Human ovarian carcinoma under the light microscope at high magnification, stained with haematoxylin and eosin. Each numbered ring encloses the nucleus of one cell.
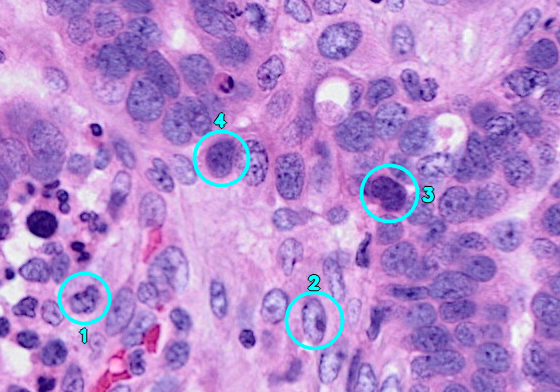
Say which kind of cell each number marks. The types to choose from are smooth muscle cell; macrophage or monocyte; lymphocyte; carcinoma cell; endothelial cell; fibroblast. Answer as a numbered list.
1. macrophage or monocyte
2. fibroblast
3. carcinoma cell
4. carcinoma cell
